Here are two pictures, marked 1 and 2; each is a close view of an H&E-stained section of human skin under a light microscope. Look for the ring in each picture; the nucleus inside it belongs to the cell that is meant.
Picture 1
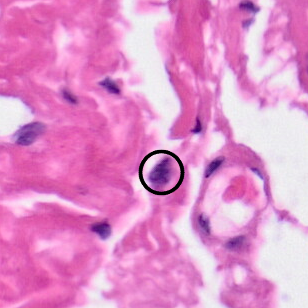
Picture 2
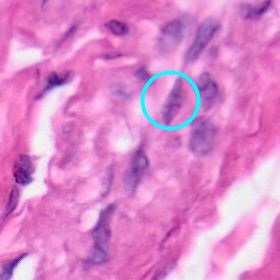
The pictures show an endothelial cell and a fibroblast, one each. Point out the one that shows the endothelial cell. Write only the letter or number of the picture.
2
